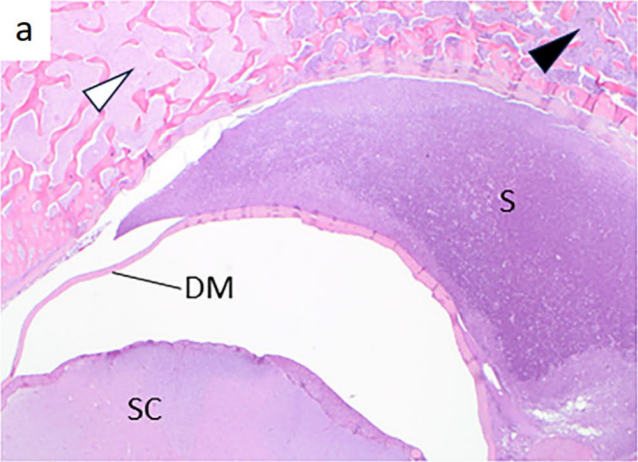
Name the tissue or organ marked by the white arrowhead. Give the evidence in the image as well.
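Non-neoplastic bone marrow. The arrowhead points into a network of thin pink bony trabeculae. Pale spaces lie between the trabeculae.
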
